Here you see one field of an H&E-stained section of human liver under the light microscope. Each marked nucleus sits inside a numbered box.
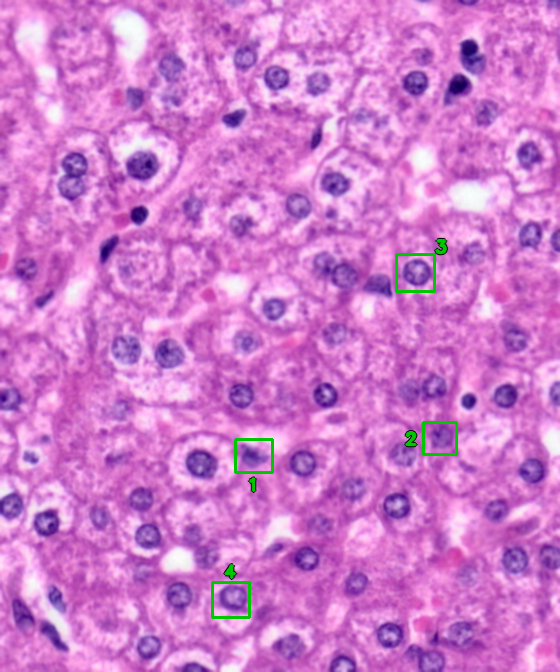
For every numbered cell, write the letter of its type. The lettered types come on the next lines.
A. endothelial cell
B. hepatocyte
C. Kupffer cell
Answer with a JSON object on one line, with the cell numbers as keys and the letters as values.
{"1": "A", "2": "B", "3": "B", "4": "B"}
